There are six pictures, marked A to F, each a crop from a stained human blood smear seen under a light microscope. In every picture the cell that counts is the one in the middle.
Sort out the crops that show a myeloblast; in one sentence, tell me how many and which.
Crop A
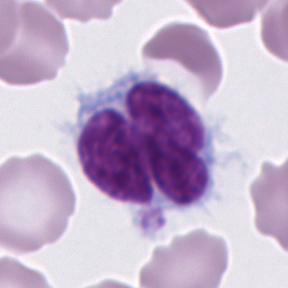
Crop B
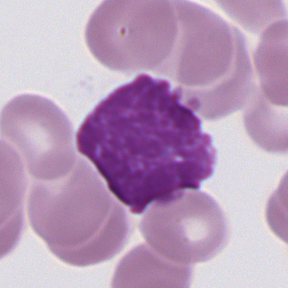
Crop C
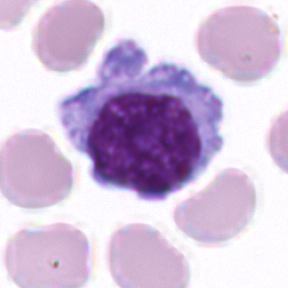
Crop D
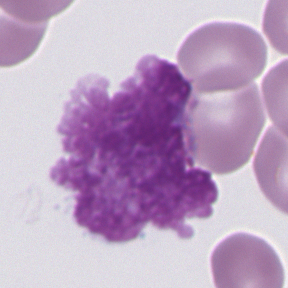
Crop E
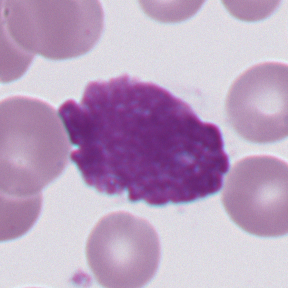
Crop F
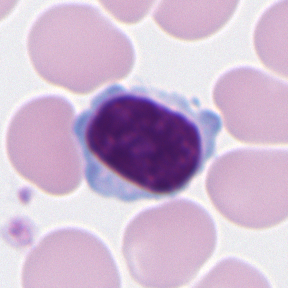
So far as myeloblasts go, the crops show none, and the count is zero.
